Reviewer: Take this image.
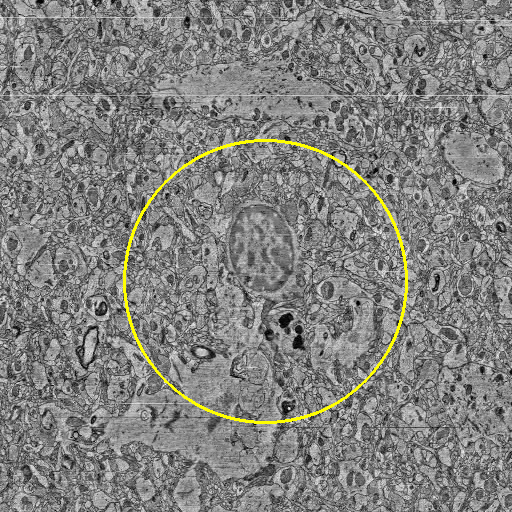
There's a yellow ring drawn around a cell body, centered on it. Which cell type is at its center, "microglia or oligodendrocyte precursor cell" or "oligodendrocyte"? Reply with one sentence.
At the center of the yellow ring is an oligodendrocyte.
